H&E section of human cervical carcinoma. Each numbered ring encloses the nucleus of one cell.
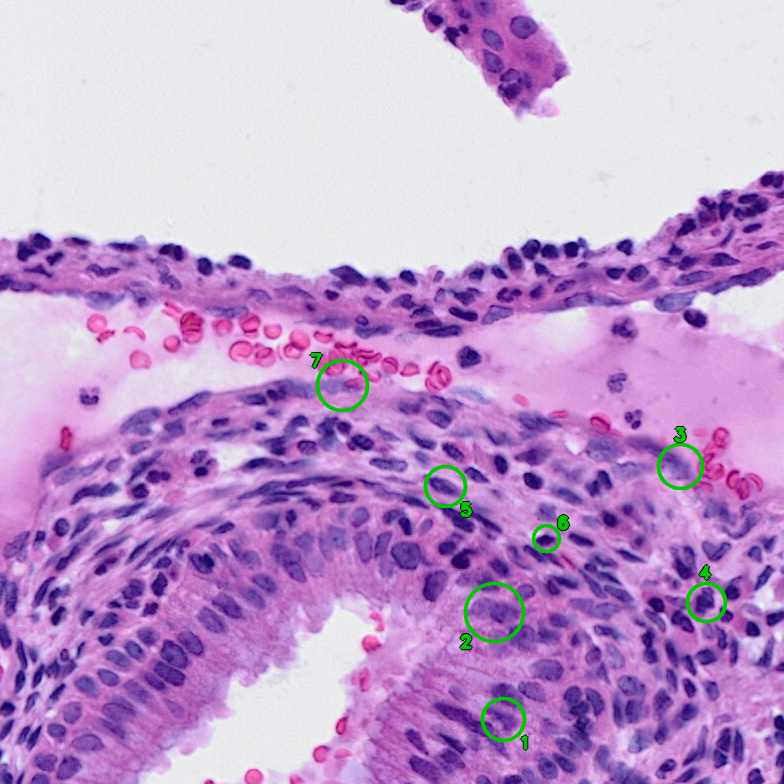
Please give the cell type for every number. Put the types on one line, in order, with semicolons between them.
secretory epithelial cell; secretory epithelial cell; endothelial cell; lymphocyte; fibroblast; lymphocyte; endothelial cell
